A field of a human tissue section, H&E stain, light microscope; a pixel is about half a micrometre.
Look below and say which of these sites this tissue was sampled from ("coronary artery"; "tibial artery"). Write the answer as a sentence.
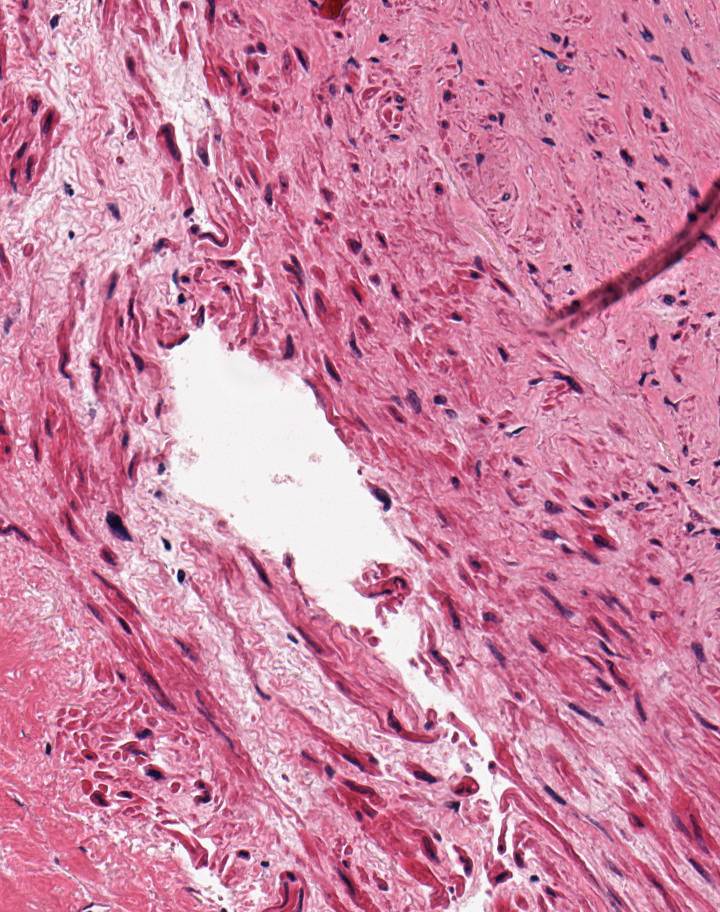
The site this tissue was sampled from is the coronary artery.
